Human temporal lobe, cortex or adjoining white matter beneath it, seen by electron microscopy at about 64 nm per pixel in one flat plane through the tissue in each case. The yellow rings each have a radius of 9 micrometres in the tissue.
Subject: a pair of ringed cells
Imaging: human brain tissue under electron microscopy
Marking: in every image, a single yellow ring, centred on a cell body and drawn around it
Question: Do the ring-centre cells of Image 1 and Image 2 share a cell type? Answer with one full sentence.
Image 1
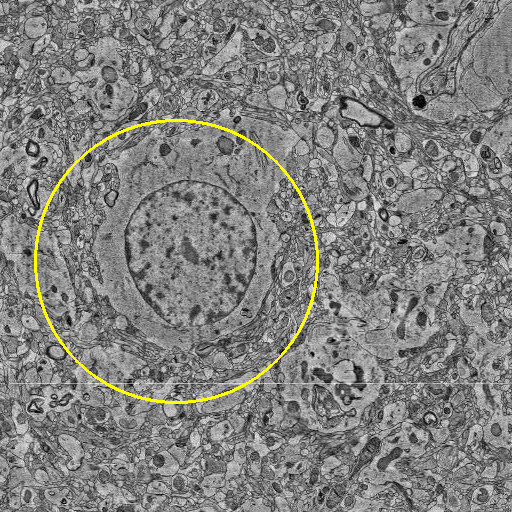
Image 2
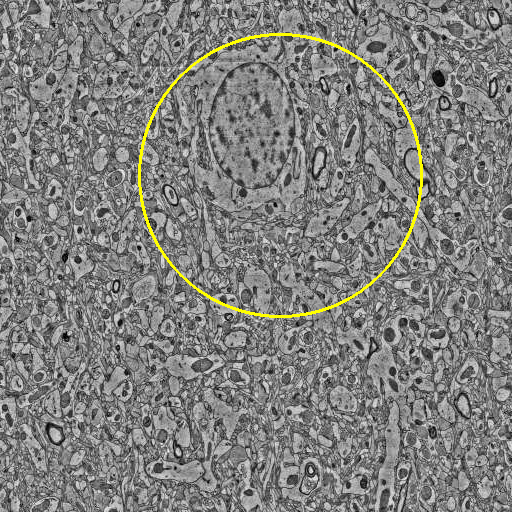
No, at the ring centres in the images sit cells of two separate types.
